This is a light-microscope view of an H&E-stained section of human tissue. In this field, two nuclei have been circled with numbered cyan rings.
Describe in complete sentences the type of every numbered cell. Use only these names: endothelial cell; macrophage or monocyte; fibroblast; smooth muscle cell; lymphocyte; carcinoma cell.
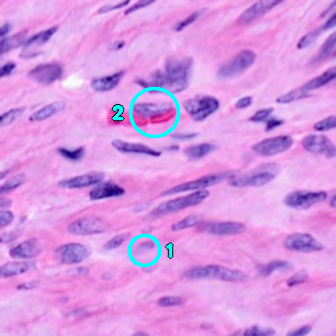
Cell 1 is a smooth muscle cell and cell 2 is an endothelial cell.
